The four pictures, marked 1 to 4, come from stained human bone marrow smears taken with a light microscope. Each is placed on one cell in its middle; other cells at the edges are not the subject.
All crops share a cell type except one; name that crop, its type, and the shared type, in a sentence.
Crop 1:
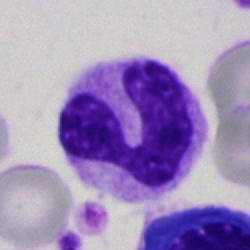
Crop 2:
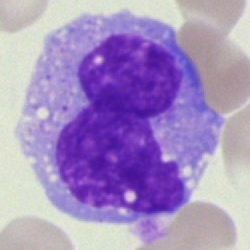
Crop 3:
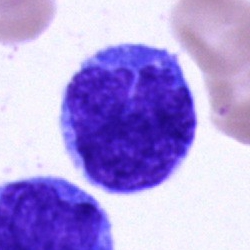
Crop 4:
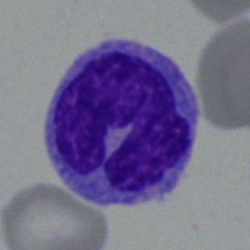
Crop 1 is the one that is a band neutrophil, and the other crops all show monocytes.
